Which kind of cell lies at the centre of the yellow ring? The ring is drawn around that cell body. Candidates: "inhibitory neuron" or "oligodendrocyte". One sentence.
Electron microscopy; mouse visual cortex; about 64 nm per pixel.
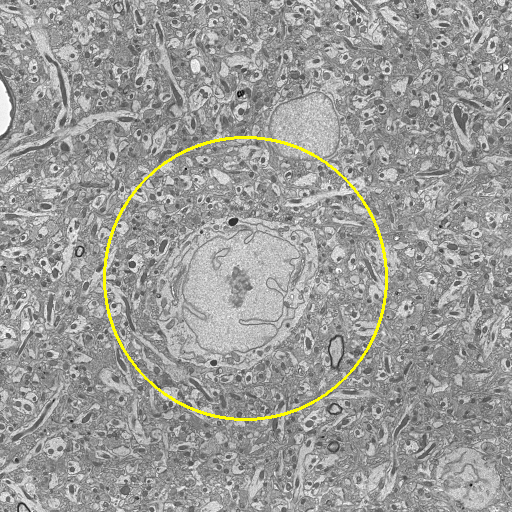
Lying at the centre of the ring is an inhibitory neuron.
